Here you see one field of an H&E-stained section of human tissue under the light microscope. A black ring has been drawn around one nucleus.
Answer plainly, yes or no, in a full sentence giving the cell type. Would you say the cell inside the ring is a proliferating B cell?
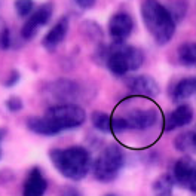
Yes, the cell inside the ring corresponds to a proliferating B cell in this tissue.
